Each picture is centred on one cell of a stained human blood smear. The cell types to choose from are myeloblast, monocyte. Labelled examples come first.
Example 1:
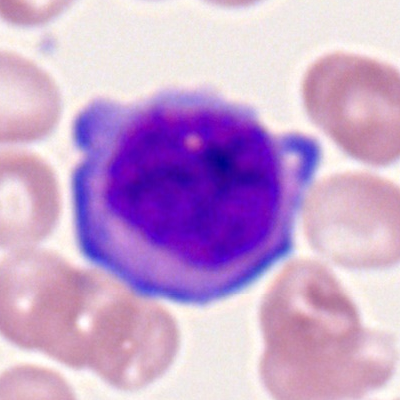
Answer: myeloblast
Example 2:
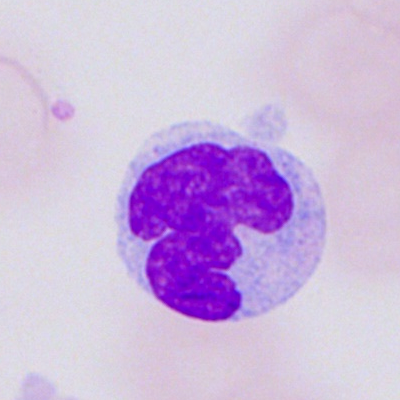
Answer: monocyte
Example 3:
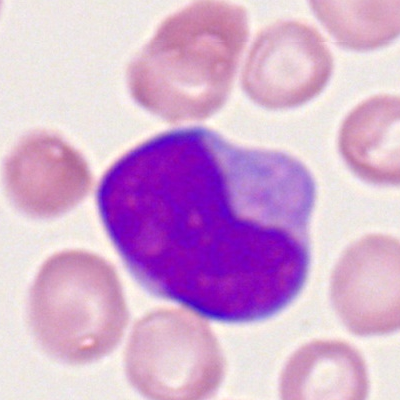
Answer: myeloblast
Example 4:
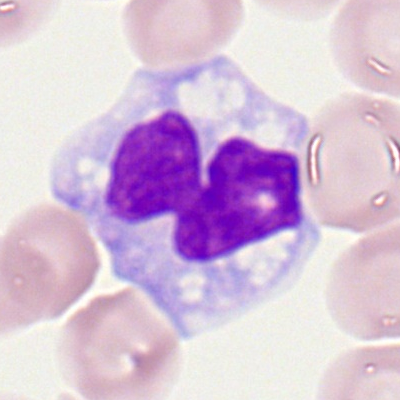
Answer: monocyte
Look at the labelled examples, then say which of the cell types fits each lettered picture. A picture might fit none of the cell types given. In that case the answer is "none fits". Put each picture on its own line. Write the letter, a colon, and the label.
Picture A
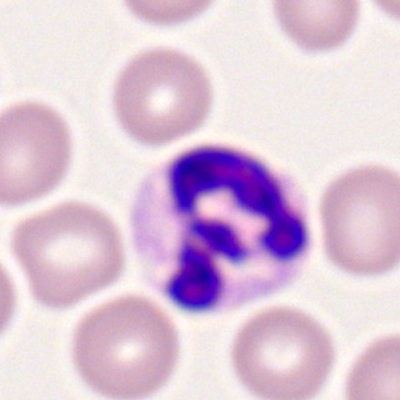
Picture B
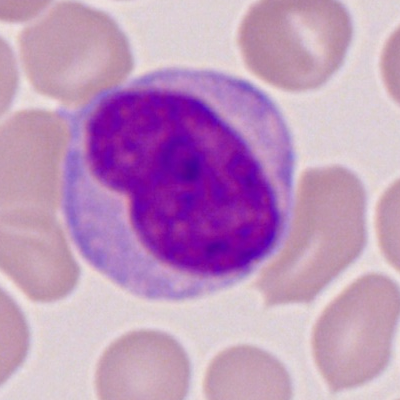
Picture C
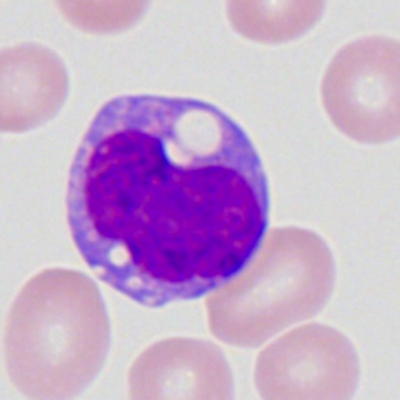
A: none fits
B: monocyte
C: monocyte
